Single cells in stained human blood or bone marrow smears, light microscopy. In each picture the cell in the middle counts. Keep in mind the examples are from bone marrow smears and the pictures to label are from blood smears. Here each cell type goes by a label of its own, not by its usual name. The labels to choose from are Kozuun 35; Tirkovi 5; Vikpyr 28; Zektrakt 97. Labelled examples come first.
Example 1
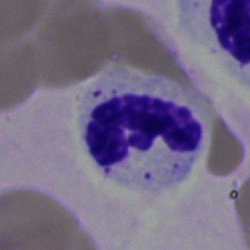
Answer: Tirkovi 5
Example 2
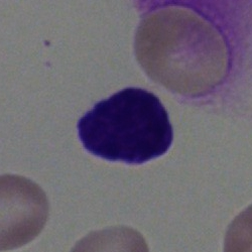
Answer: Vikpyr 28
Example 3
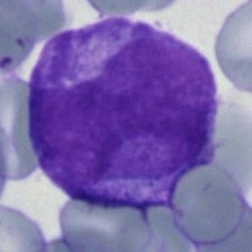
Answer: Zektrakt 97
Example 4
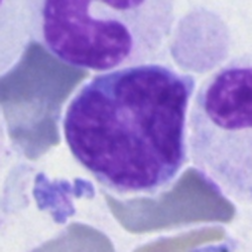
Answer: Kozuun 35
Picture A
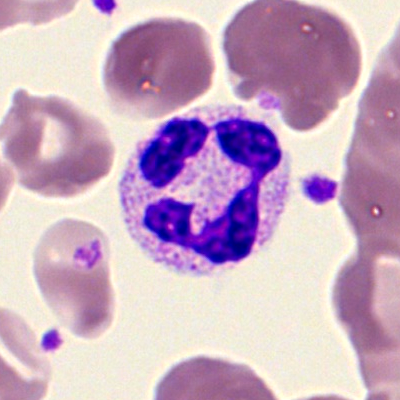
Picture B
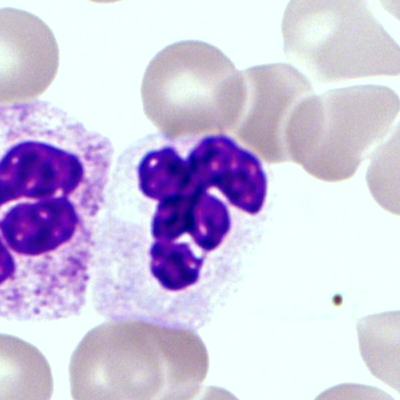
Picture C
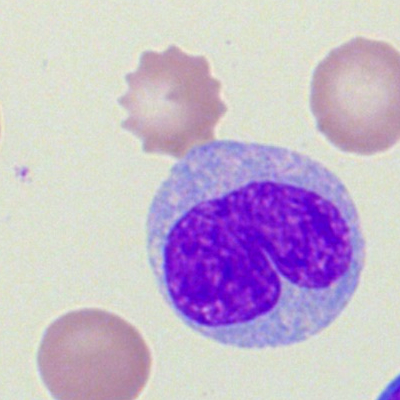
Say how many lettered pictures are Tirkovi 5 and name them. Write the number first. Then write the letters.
2: A, B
